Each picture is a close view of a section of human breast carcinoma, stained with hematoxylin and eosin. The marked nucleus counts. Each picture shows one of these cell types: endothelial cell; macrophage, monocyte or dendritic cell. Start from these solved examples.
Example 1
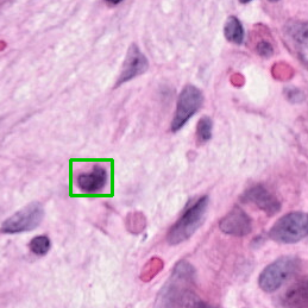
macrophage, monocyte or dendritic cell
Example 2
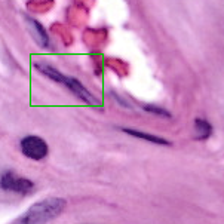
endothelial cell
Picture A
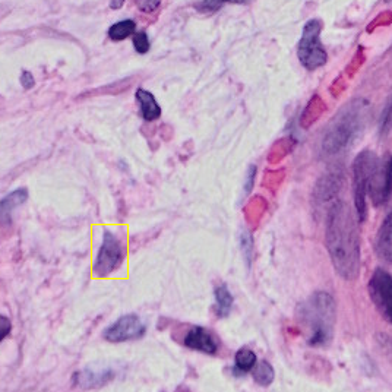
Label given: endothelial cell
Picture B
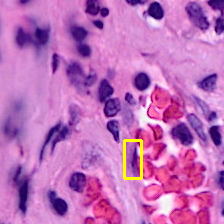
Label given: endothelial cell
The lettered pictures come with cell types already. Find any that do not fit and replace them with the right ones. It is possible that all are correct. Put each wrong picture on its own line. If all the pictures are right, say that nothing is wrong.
A should be macrophage, monocyte or dendritic cell, not endothelial cell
